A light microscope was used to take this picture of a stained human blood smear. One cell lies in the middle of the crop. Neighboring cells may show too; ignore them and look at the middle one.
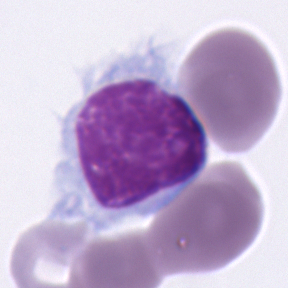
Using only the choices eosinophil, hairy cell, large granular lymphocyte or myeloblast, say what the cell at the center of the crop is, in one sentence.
Regarding the central cell, it is a hairy cell.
